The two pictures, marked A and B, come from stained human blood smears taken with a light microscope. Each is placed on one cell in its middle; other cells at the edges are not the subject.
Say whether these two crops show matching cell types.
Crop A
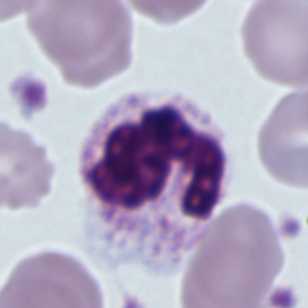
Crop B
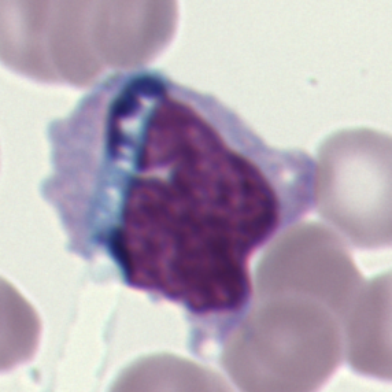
no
